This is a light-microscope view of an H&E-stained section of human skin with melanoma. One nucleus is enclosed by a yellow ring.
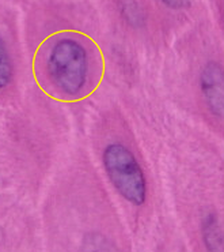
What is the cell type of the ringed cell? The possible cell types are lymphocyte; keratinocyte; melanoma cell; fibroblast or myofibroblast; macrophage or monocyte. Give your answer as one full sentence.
The cell meant here is a keratinocyte.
